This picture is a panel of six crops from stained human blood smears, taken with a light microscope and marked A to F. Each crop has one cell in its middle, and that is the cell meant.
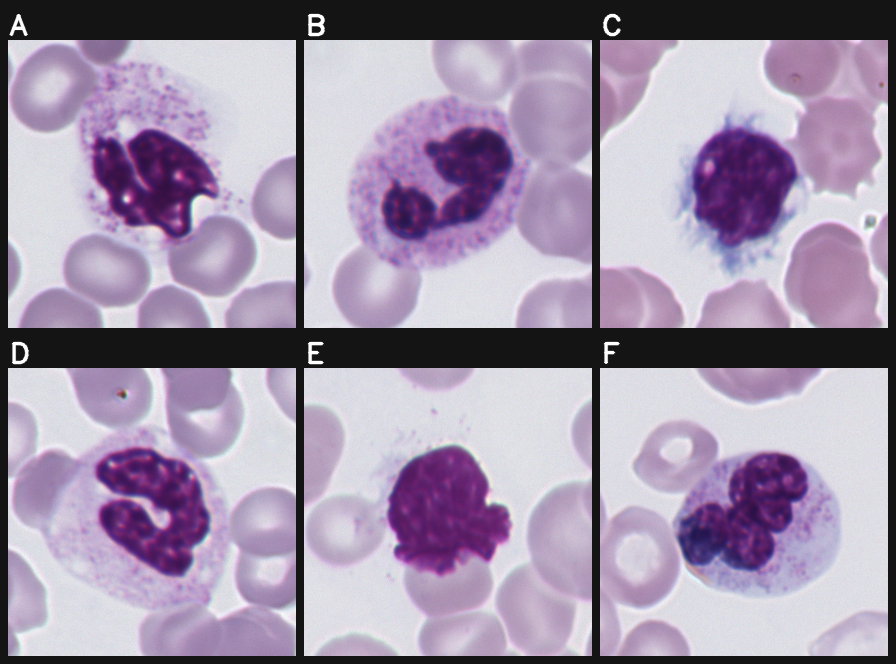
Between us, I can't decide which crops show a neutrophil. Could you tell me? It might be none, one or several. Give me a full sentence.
The crops labelled A, B, D and F show neutrophils at the centre.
